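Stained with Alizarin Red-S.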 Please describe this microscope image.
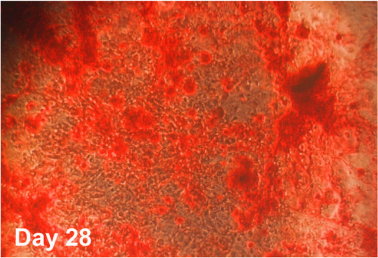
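A confluent cell layer is seen, stained red almost throughout. Deeper red, denser nodules and clumps stand out against a lighter red background in which the outlines of individual cells can faintly be seen. Towards one side a dark, thickened aggregate lies within the red layer.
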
